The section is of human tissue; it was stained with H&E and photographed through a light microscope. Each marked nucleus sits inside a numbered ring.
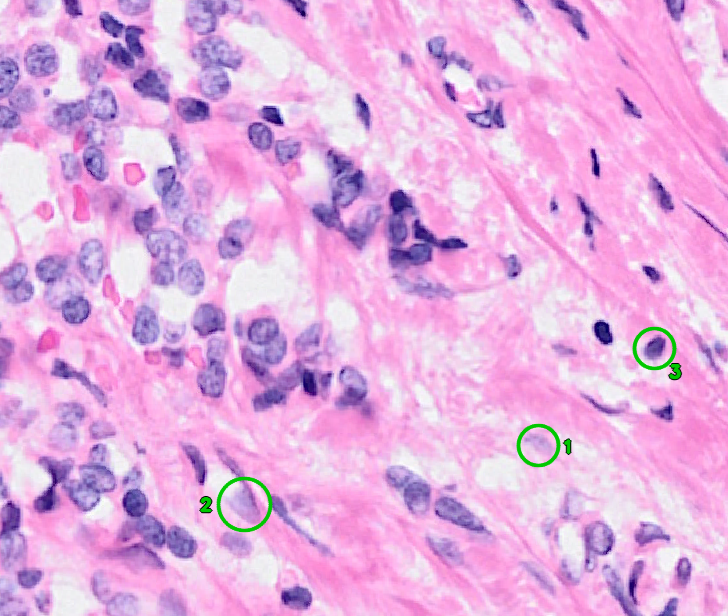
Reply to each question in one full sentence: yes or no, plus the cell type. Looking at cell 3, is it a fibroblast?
No, for cell 3, the correct identification is a lymphocyte instead of a fibroblast.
